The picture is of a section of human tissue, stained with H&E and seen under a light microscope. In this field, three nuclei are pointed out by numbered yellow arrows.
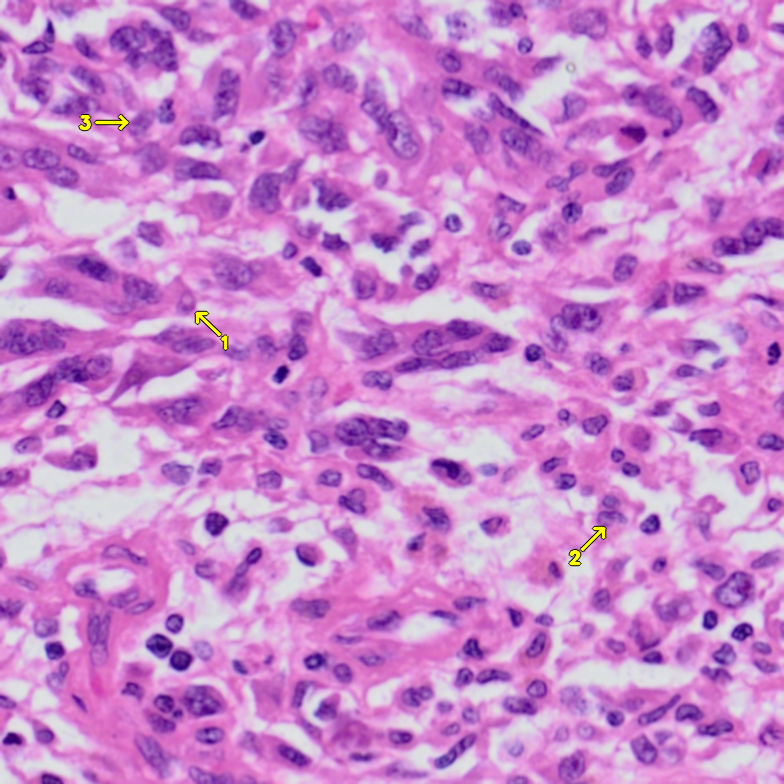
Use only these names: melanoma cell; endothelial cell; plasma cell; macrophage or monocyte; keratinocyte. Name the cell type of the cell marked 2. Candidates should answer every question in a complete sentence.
The cell indicated by marker 2 is a macrophage or monocyte in this section.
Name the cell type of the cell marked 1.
Cell 1 in the field is a melanoma cell.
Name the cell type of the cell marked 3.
Regarding cell 3, this one is a melanoma cell.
